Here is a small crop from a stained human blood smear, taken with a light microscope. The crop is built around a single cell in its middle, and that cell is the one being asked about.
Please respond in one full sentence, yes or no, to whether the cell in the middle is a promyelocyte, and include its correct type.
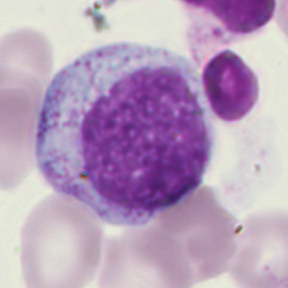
Yes, the cell centred in the field of view is a promyelocyte.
